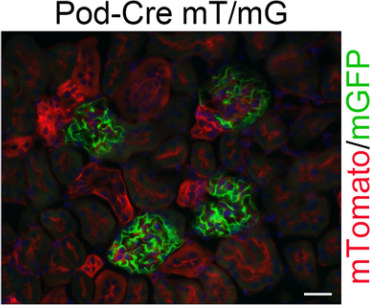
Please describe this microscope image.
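A fluorescence section of kidney shows several round glomeruli lying among cross-sectioned tubules. Within each glomerulus, a green signal traces a convoluted, looping pattern across the tuft. The surrounding tubules have red-outlined membranes around small lumens, and some red also lies at the edges of the glomeruli. Blue nuclei are faintly visible throughout.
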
